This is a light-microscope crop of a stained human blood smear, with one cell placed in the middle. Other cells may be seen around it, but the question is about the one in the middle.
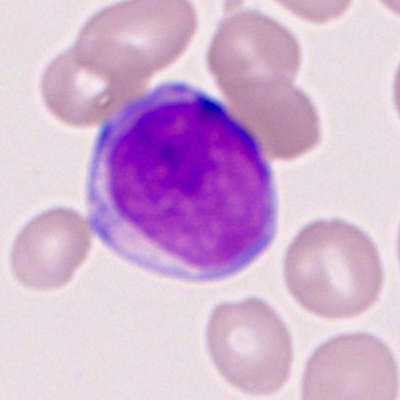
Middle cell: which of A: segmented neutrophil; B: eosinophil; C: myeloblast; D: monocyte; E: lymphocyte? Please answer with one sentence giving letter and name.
Since the cell in the middle is a myeloblast, option C is correct.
